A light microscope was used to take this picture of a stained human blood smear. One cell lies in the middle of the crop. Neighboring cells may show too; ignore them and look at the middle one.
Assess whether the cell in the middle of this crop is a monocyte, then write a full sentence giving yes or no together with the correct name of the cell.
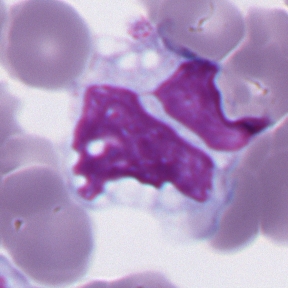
Yes, the cell that the crop is centered on is a monocyte.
